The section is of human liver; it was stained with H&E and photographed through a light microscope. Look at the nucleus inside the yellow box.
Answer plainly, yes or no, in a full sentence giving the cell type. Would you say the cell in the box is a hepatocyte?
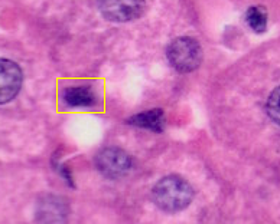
No, what the cell in the box represents is a fibroblast or stellate cell rather than a hepatocyte.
